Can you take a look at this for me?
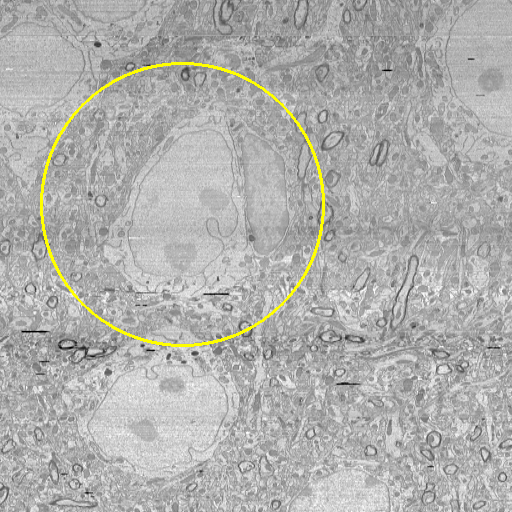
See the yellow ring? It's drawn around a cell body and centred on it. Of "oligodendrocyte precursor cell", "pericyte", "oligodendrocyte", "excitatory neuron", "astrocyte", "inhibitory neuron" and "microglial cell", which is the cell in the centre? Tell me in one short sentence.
The one in the centre is an excitatory neuron.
